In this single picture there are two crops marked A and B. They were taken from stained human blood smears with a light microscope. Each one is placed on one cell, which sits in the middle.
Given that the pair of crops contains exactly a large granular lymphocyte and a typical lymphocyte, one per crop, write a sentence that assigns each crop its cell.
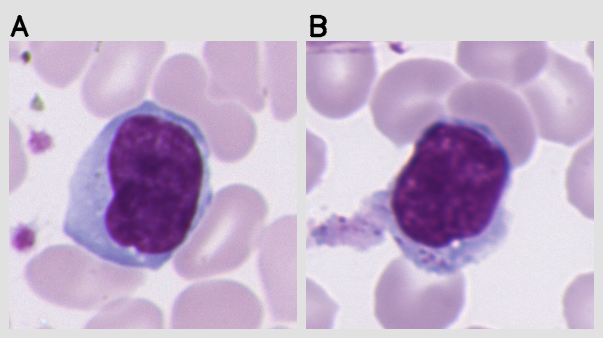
Crop A features a typical lymphocyte, while crop B features a large granular lymphocyte.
